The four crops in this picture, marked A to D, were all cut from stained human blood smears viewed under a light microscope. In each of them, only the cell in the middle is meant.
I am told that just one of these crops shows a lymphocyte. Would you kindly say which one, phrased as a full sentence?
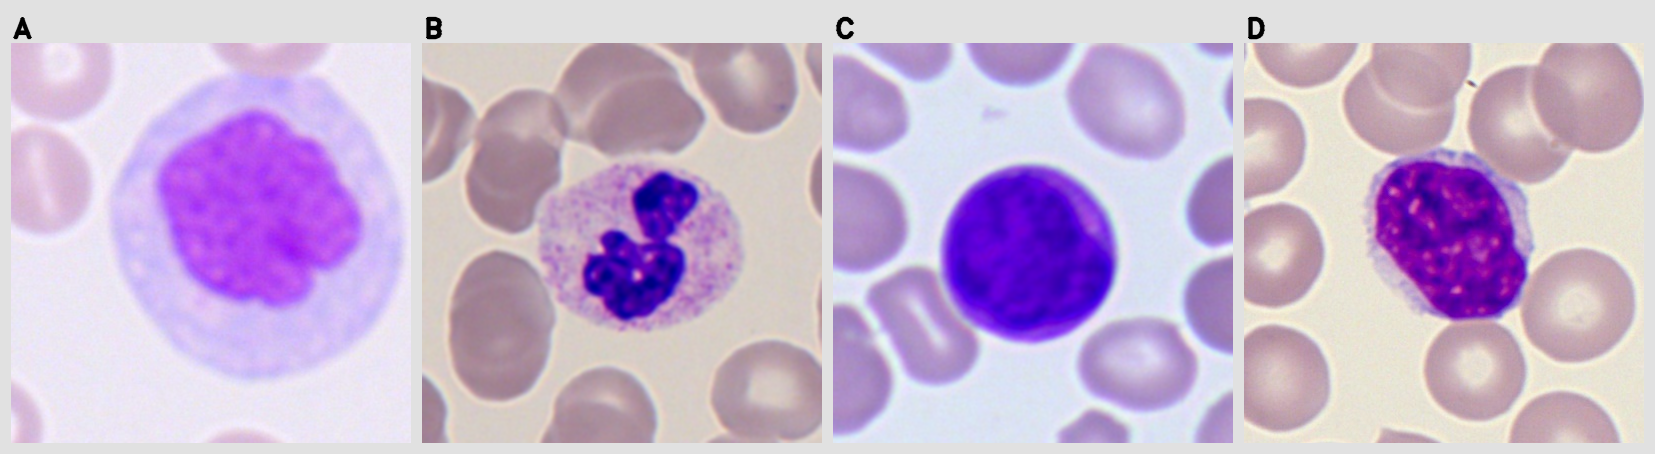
Among the crops given, only crop D shows a lymphocyte.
